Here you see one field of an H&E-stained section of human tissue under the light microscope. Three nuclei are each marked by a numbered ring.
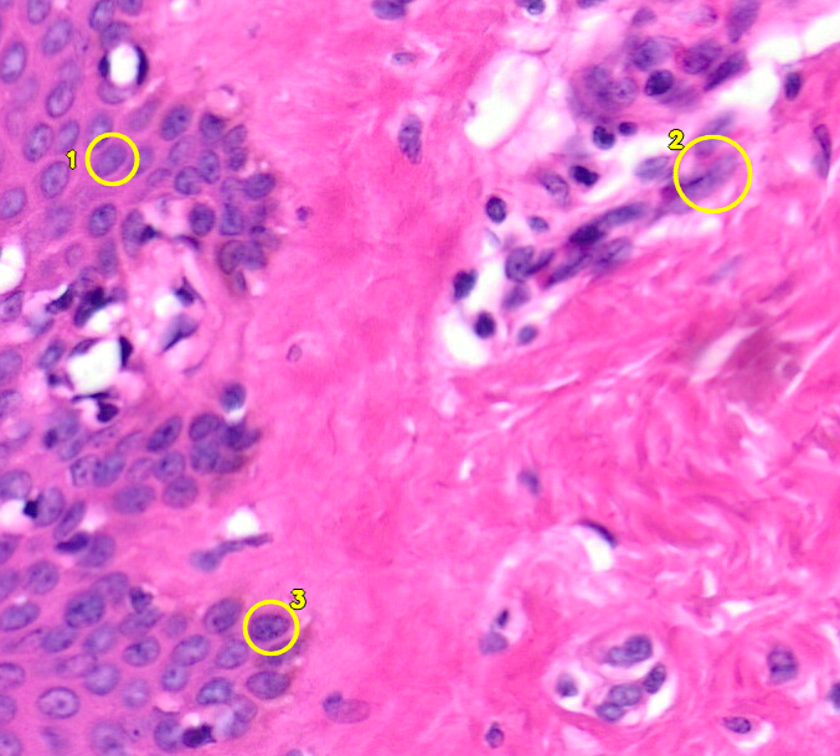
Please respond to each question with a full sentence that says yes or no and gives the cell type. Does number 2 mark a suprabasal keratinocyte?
No, the cell numbered 2 is an endothelial cell rather than a suprabasal keratinocyte.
